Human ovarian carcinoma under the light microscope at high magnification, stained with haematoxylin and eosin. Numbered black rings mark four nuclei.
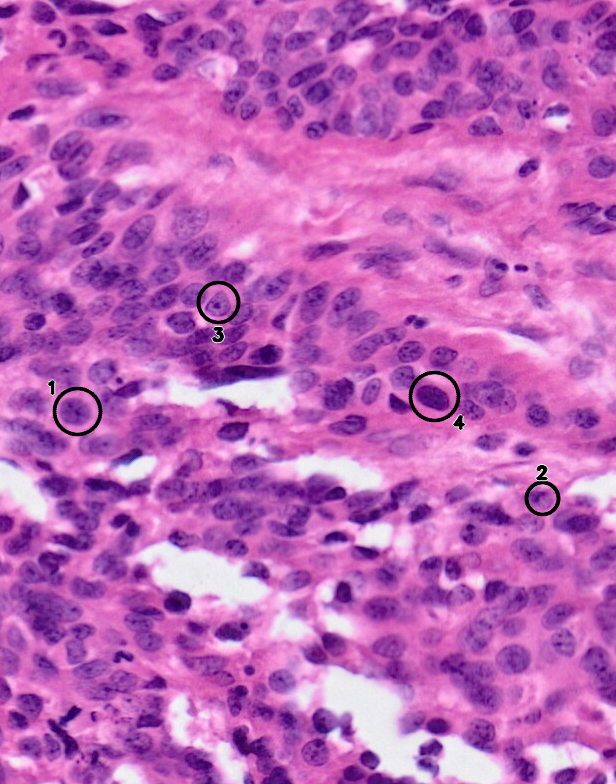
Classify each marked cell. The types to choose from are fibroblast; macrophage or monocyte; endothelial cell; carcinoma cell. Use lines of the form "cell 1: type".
cell 1: carcinoma cell
cell 2: macrophage or monocyte
cell 3: macrophage or monocyte
cell 4: carcinoma cell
